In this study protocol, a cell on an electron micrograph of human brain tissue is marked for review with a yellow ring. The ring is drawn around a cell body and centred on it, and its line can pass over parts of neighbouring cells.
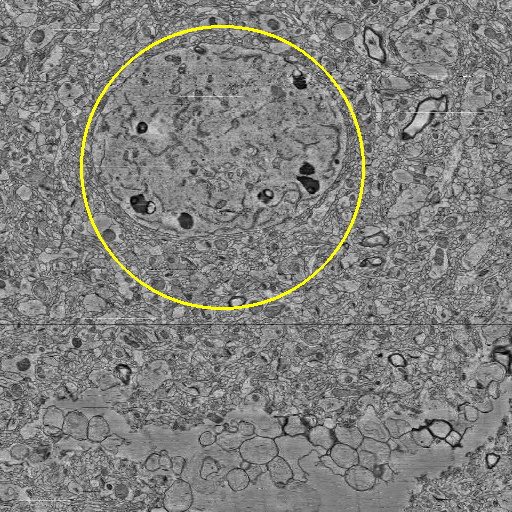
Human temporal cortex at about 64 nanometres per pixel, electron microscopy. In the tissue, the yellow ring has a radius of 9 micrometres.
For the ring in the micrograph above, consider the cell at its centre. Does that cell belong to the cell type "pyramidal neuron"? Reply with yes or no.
yes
